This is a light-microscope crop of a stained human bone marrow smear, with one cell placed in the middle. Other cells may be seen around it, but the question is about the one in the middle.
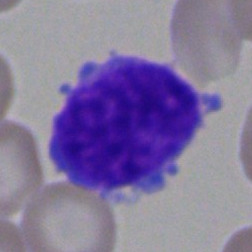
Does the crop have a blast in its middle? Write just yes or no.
yes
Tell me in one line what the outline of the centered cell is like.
In outline, the cell is irregular, ragged in stretches or drawn into projections.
